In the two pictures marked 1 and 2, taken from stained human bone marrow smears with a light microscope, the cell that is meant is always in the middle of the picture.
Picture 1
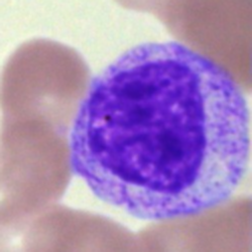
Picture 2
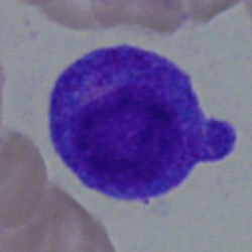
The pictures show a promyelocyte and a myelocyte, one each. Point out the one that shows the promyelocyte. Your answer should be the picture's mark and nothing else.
2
